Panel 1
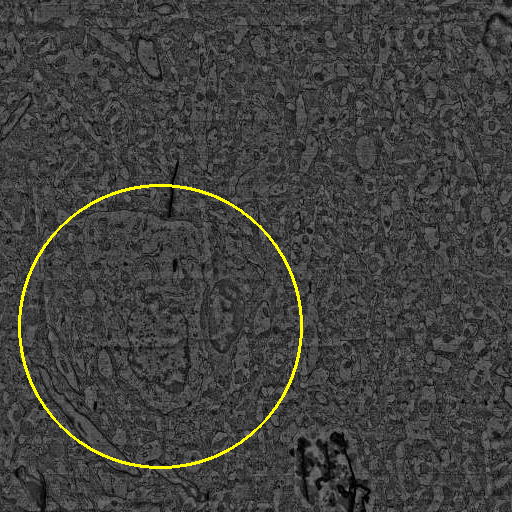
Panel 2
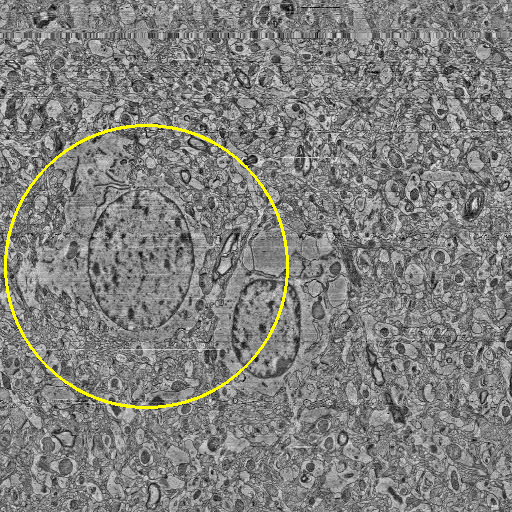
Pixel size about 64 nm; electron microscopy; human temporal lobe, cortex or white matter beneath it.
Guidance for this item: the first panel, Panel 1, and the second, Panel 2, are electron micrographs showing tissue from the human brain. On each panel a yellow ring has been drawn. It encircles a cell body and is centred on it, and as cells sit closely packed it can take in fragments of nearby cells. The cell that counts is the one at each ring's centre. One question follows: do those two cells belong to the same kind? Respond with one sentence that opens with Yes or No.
No, the cells at the ring centres in Panel 1 and Panel 2 are of two kinds.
